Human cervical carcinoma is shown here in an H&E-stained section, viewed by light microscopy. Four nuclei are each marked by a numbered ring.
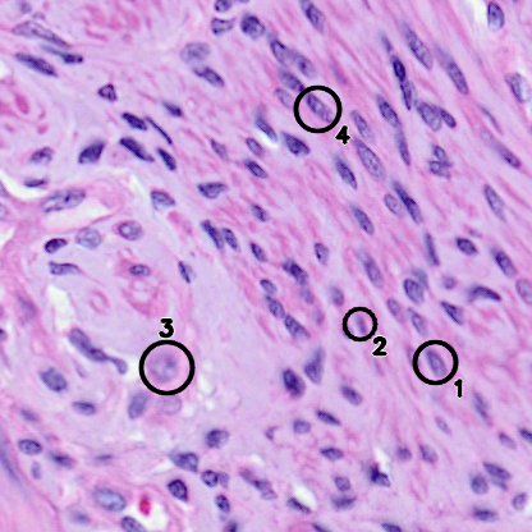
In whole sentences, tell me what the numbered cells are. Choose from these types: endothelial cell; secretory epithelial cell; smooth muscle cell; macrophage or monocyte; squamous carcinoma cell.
Cells 1, 2 and 4 are smooth muscle cells. Cell 3 is an endothelial cell.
